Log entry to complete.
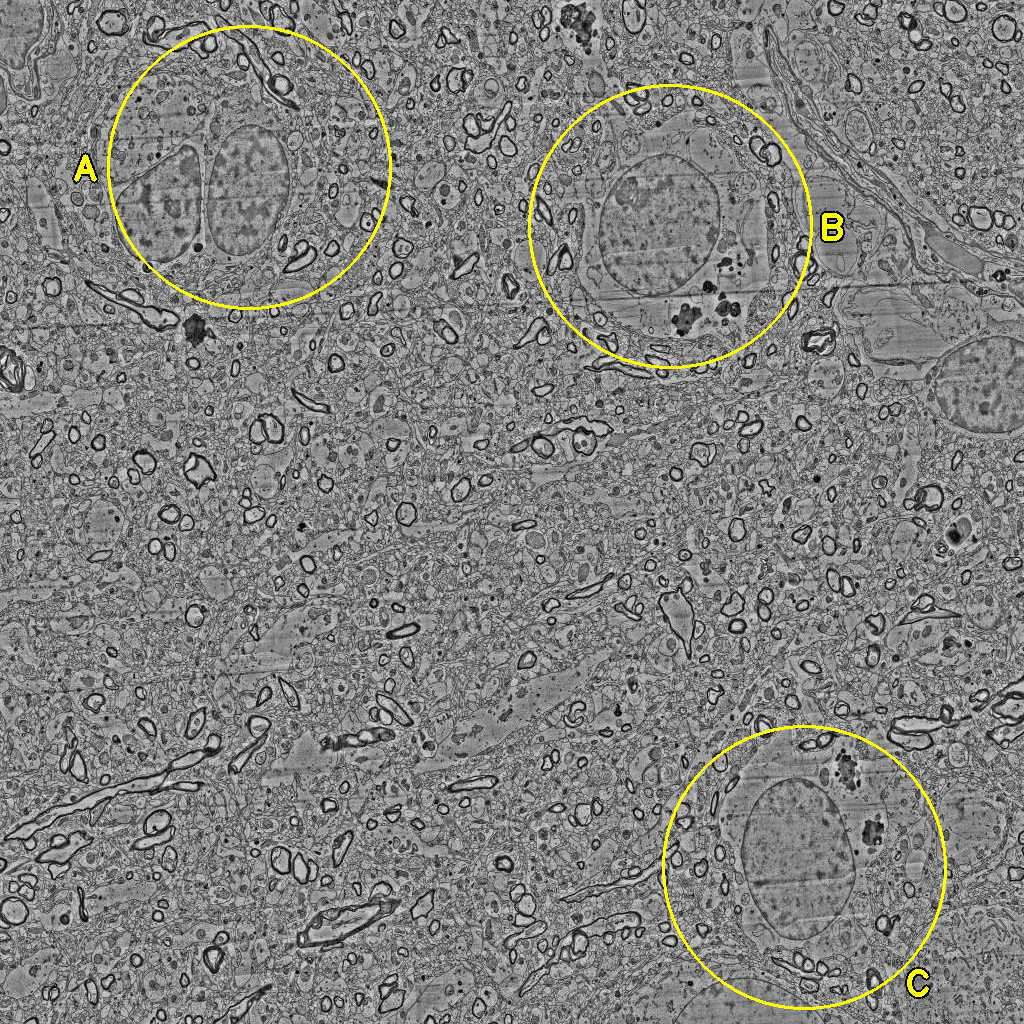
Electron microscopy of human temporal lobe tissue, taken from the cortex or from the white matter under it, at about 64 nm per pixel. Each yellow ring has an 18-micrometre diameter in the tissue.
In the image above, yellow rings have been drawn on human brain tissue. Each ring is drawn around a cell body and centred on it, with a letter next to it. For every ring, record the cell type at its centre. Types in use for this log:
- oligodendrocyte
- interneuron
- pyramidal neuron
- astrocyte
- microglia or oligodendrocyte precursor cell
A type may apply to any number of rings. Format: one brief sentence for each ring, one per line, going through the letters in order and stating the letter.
In ring A, the centred cell is an oligodendrocyte.
In ring B, the centred cell is an astrocyte.
In ring C, the centred cell is an astrocyte.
